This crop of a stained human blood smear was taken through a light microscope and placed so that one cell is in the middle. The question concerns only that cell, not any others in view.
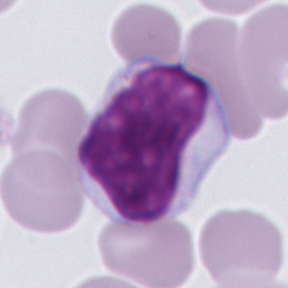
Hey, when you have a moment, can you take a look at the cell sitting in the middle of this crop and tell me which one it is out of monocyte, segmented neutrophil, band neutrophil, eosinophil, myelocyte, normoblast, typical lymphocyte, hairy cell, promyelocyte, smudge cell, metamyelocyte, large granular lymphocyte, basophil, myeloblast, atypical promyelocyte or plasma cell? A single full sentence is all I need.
At the middle of the frame sits a large granular lymphocyte.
